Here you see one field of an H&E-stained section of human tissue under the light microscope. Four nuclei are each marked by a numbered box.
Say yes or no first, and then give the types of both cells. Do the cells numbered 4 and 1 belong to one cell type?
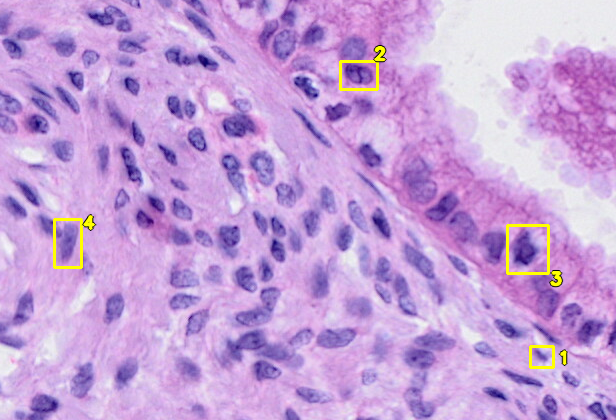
Yes, in short, cells 4 and 1 are both fibroblasts.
